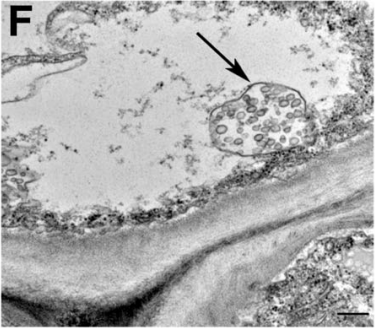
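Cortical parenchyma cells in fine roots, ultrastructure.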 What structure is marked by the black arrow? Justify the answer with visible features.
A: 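A single-membrane rounded body lies within the pale vacuole. It contains many small vesicles. So: autophagy-related structures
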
